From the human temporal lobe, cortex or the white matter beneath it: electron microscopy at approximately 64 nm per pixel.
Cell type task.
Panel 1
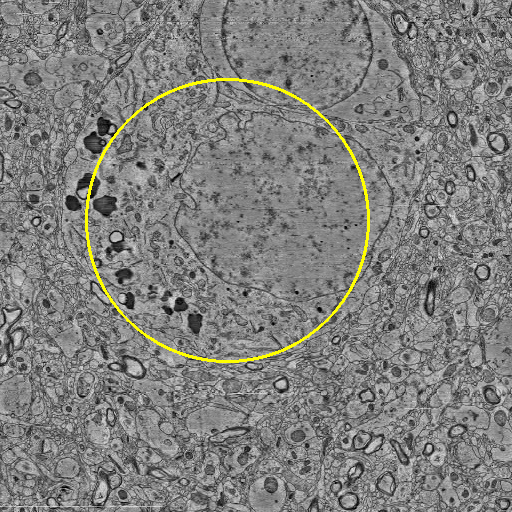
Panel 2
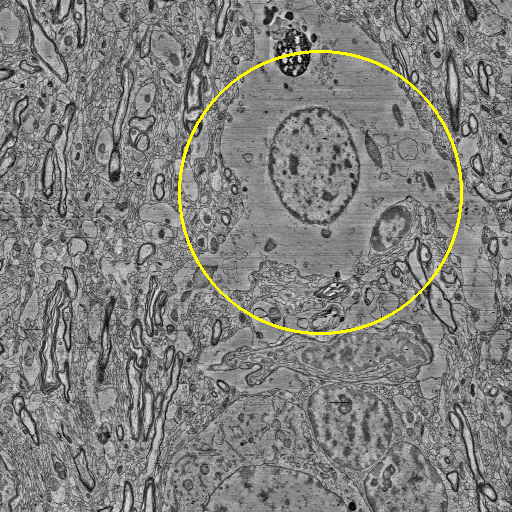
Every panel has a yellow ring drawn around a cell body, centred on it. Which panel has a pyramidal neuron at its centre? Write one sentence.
It sits at the centre of the ring in Panel 1.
